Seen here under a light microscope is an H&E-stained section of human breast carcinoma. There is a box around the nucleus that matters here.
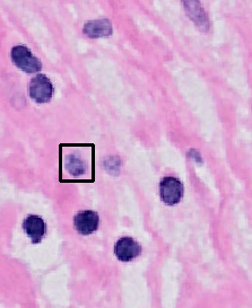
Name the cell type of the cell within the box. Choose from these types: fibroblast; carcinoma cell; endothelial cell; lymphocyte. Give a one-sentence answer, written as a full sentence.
What the cell within the box represents is a lymphocyte.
